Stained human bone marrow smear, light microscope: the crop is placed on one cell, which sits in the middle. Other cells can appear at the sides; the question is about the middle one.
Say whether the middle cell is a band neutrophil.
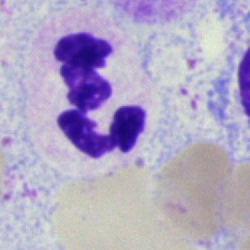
no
